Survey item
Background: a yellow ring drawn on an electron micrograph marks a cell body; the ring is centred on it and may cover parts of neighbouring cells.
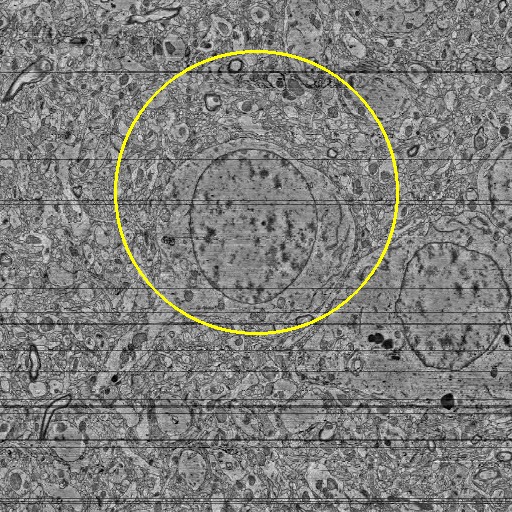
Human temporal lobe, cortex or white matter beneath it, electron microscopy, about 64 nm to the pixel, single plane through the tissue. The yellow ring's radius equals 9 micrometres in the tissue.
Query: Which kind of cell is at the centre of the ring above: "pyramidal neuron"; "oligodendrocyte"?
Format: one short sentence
The cell in the middle of the ring is a pyramidal neuron.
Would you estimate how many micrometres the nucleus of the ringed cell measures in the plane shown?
In this plane, the nucleus of the cell at the centre of the ring measures about 10 by 8 micrometres.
